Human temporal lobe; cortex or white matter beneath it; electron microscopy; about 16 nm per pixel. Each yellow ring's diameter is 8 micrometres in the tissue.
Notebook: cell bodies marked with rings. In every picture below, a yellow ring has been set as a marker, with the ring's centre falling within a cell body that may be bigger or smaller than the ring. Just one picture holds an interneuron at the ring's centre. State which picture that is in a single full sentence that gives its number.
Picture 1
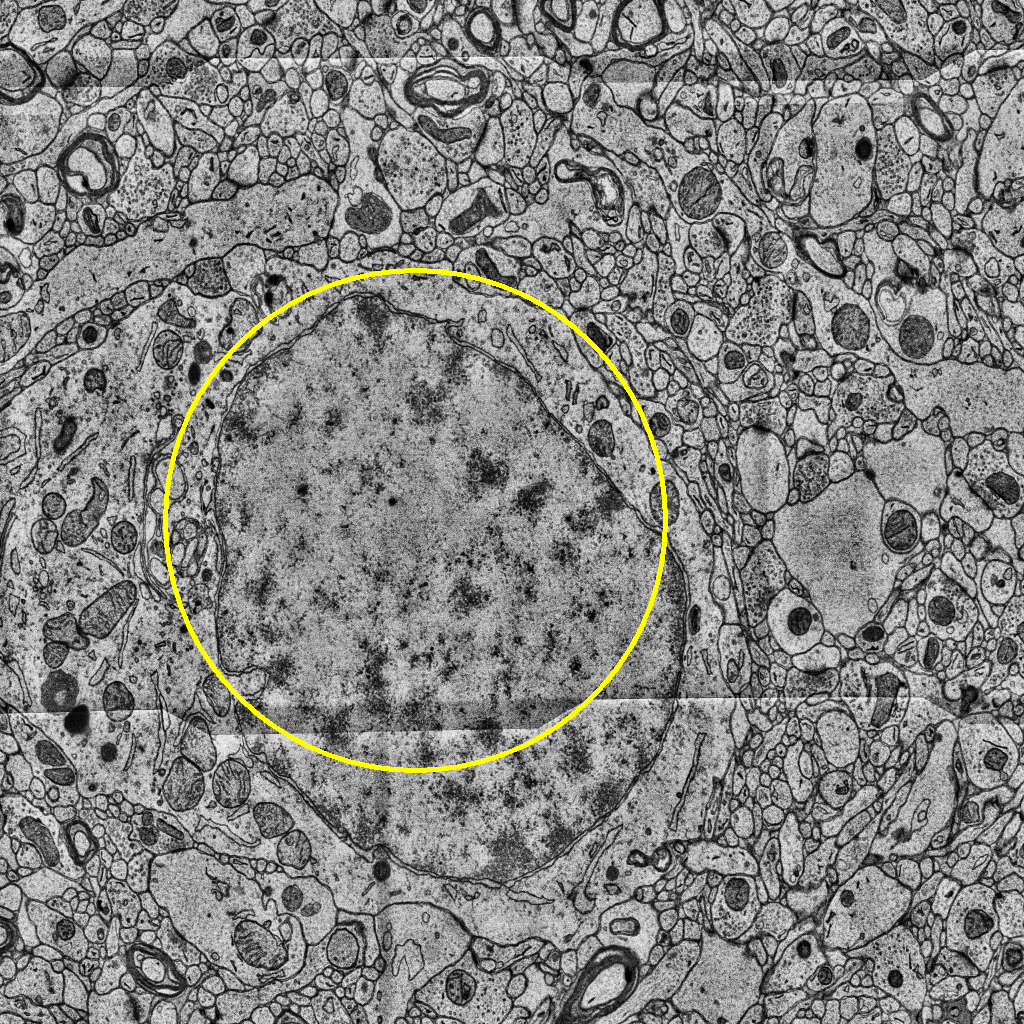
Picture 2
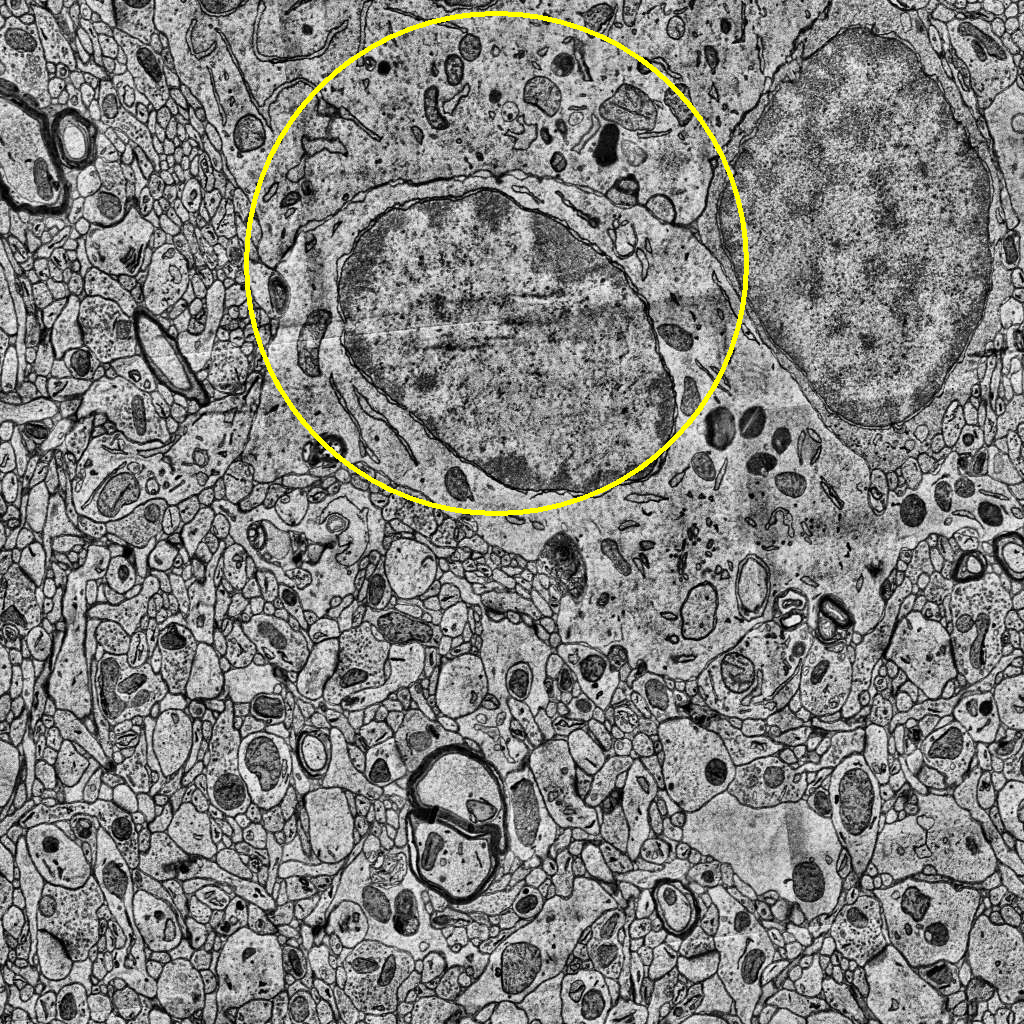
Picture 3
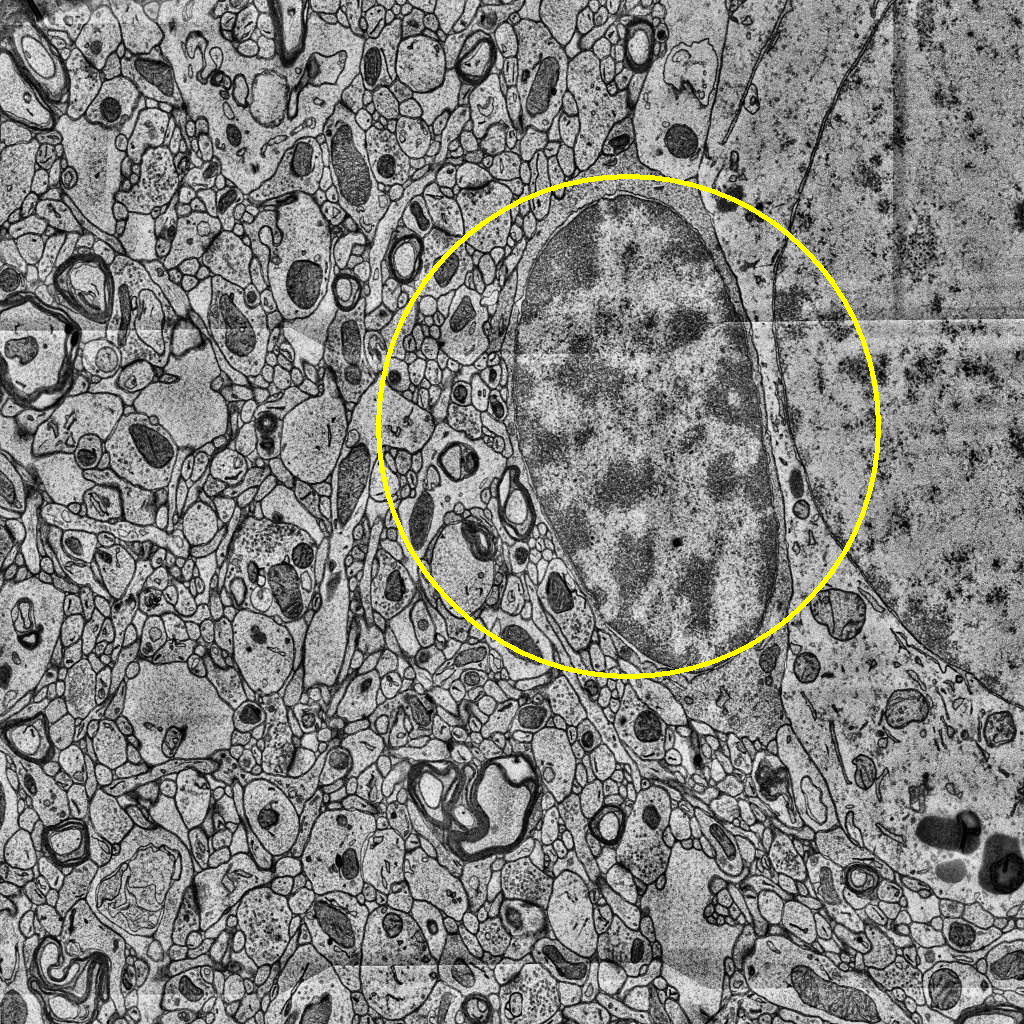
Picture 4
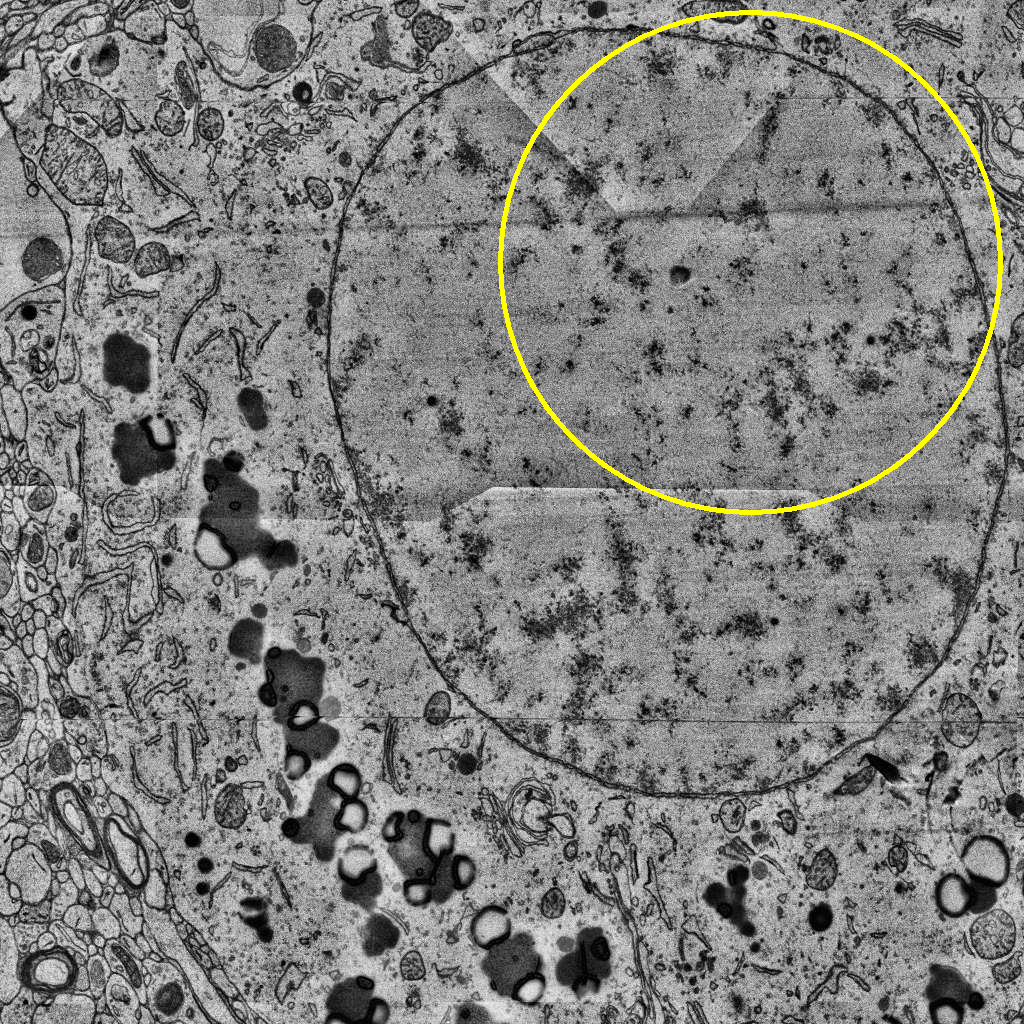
It is picture 1 whose ring has the wanted cell right at its centre.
